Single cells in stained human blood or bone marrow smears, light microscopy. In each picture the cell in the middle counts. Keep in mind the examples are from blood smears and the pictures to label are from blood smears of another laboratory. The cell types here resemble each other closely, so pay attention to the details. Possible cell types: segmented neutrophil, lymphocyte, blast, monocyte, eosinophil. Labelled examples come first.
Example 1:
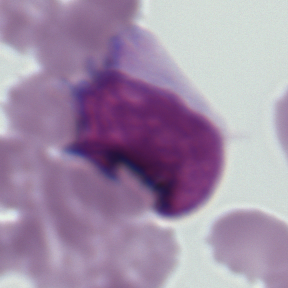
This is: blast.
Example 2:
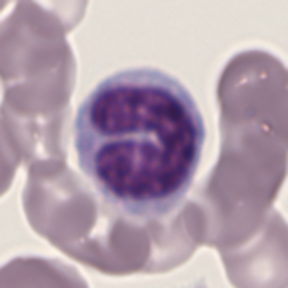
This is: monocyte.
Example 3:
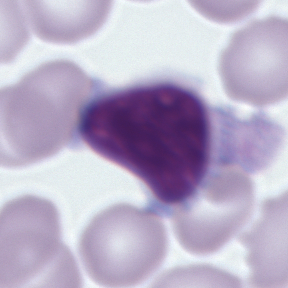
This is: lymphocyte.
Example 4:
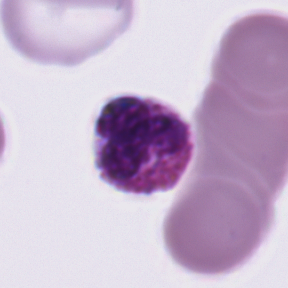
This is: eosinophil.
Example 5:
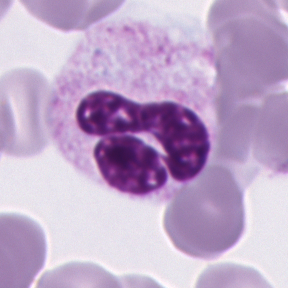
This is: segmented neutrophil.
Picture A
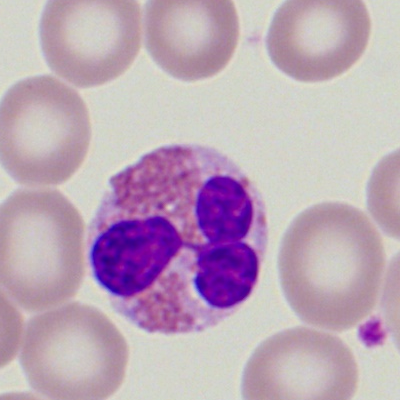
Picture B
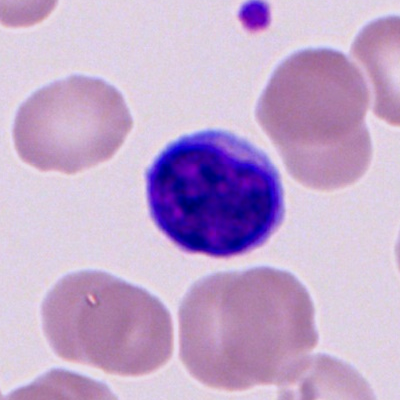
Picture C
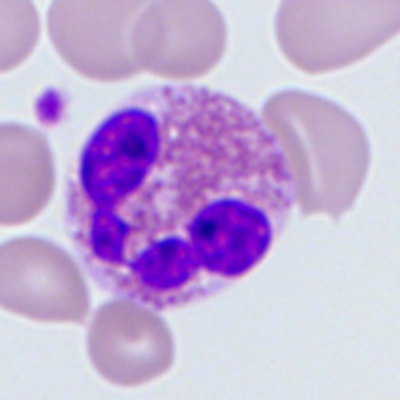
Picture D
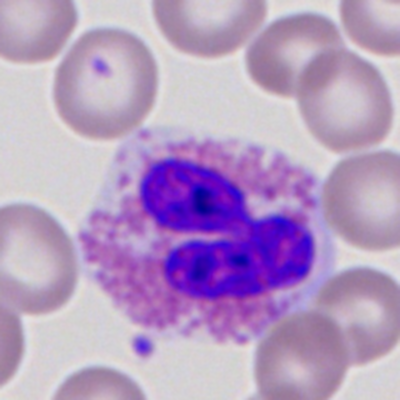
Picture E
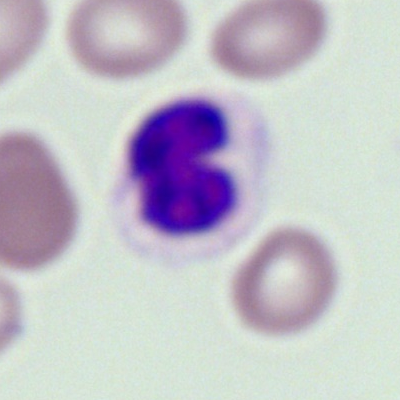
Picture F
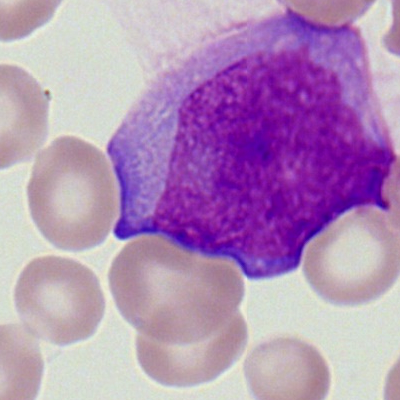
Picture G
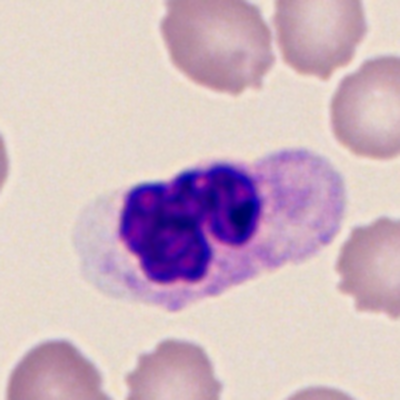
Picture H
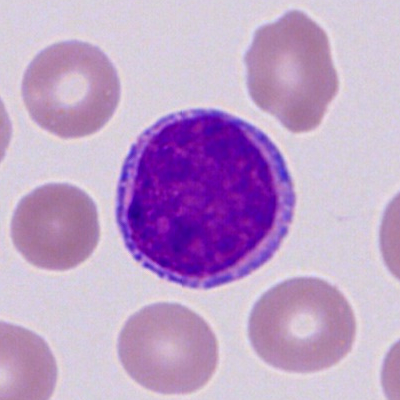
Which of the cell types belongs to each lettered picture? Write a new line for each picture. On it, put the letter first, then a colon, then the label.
A: eosinophil.
B: lymphocyte.
C: eosinophil.
D: eosinophil.
E: segmented neutrophil.
F: blast.
G: segmented neutrophil.
H: blast.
